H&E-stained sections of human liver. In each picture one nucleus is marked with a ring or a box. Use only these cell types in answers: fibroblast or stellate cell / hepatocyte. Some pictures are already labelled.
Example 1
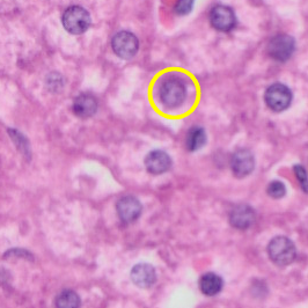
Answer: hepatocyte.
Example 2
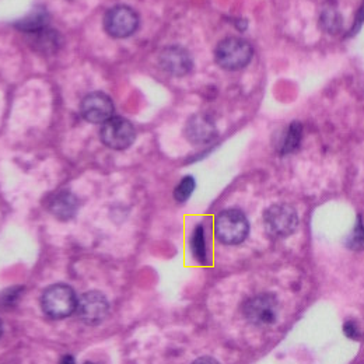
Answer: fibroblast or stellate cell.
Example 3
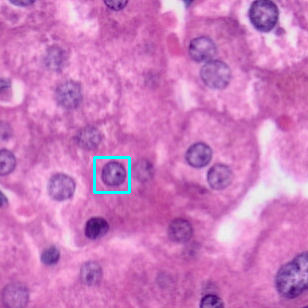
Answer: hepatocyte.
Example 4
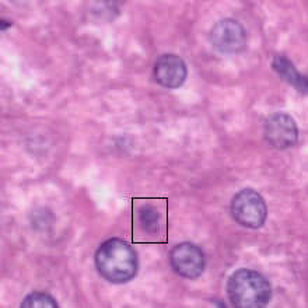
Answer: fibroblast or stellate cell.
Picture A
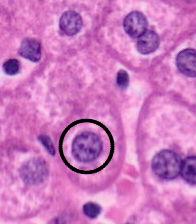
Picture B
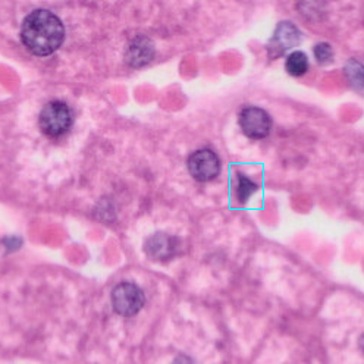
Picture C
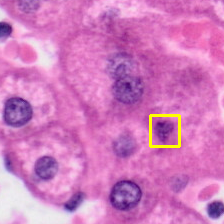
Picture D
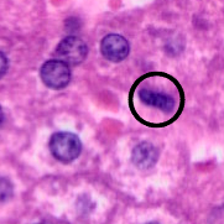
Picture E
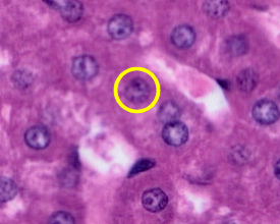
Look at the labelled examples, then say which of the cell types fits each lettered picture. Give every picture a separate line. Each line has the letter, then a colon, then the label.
A: hepatocyte.
B: fibroblast or stellate cell.
C: fibroblast or stellate cell.
D: fibroblast or stellate cell.
E: hepatocyte.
